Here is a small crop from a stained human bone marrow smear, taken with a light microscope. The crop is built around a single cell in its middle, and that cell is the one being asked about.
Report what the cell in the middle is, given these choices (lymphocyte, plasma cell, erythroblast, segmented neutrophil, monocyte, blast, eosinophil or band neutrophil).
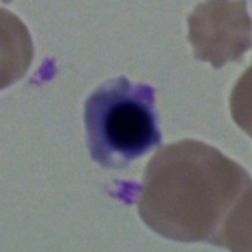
erythroblast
